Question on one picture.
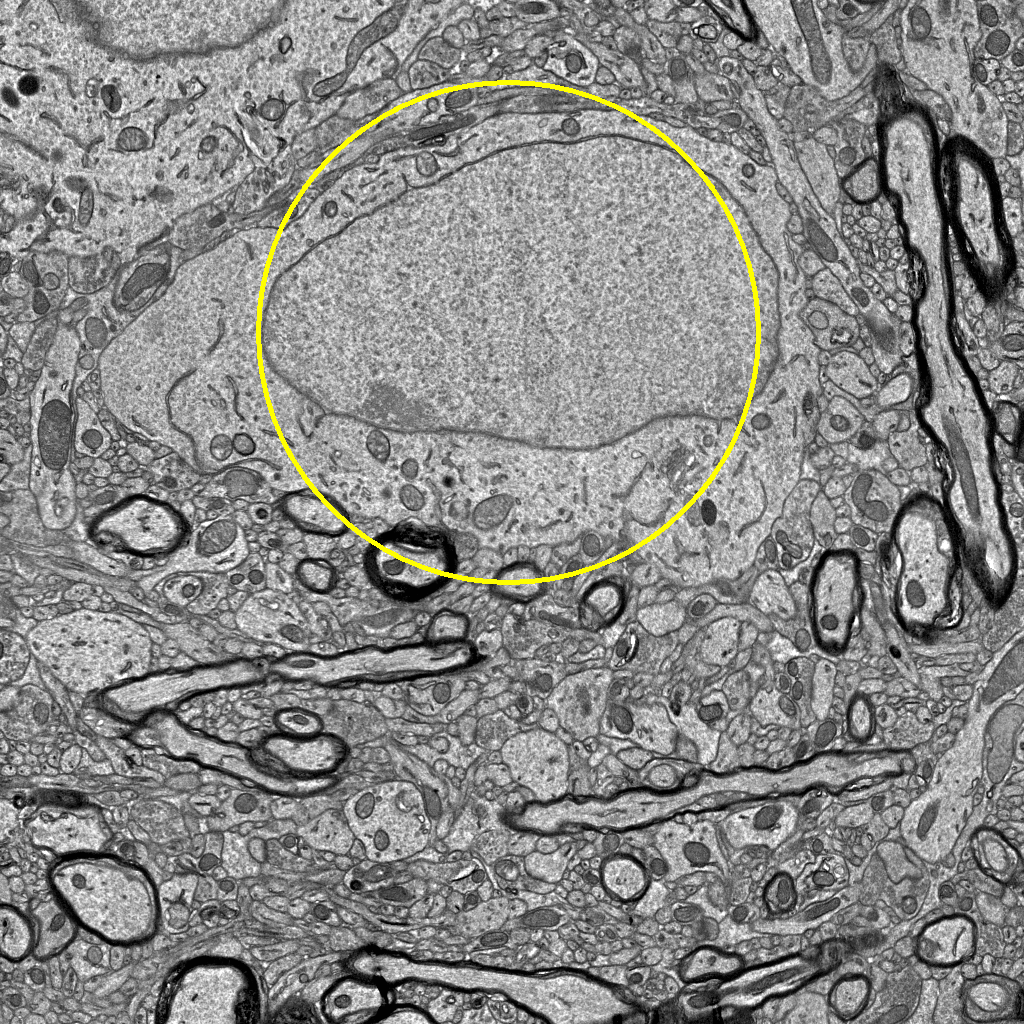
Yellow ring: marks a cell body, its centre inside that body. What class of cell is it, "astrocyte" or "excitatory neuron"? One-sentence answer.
This is an excitatory neuron, the cell at the ring's centre.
